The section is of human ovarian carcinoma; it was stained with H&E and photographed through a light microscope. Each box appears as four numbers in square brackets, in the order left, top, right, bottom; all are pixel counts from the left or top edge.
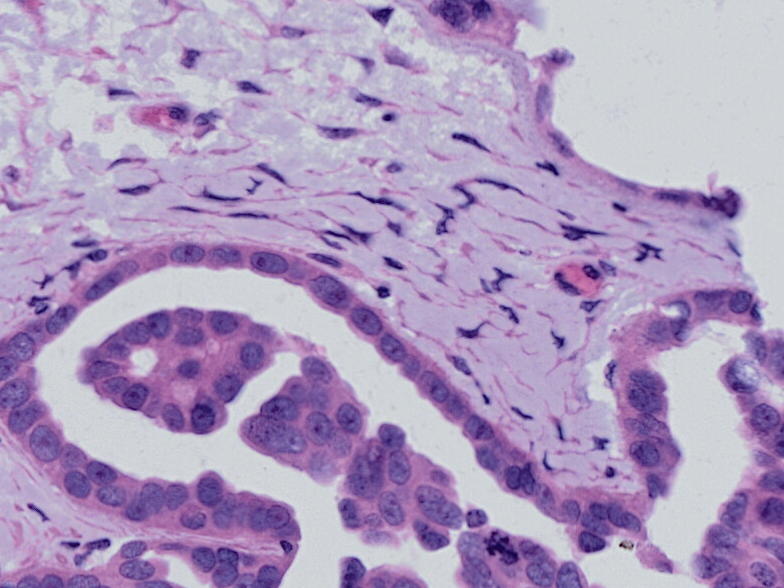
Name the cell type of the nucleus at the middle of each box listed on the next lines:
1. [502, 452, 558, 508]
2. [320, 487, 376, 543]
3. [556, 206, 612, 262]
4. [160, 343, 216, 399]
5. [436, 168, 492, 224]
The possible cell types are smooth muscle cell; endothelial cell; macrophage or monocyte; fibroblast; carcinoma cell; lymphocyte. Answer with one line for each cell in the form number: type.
1: carcinoma cell
2: carcinoma cell
3: fibroblast
4: carcinoma cell
5: fibroblast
